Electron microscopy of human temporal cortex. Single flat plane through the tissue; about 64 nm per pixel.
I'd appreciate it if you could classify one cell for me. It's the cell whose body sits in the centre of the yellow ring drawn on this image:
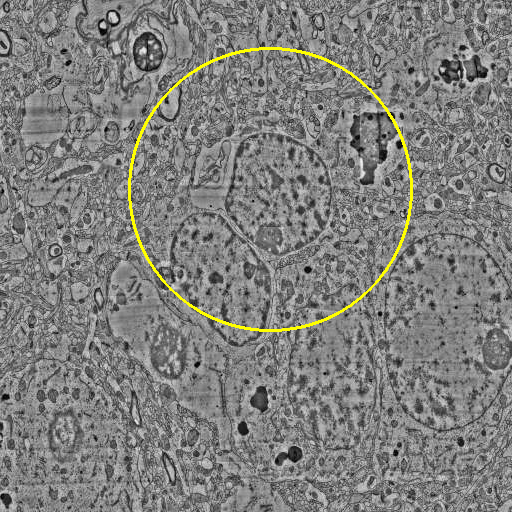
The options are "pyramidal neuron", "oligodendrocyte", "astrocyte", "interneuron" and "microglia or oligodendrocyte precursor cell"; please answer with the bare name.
astrocyte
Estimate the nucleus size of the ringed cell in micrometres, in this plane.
The ringed cell's nucleus is about 7 micrometres across in this plane.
